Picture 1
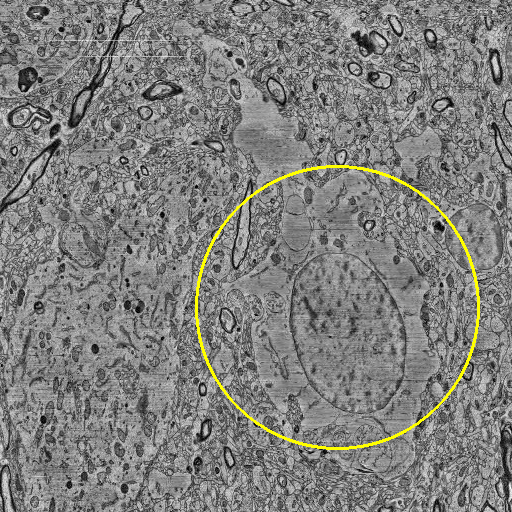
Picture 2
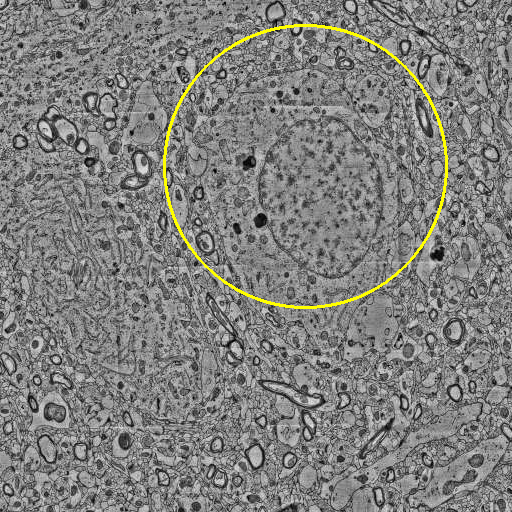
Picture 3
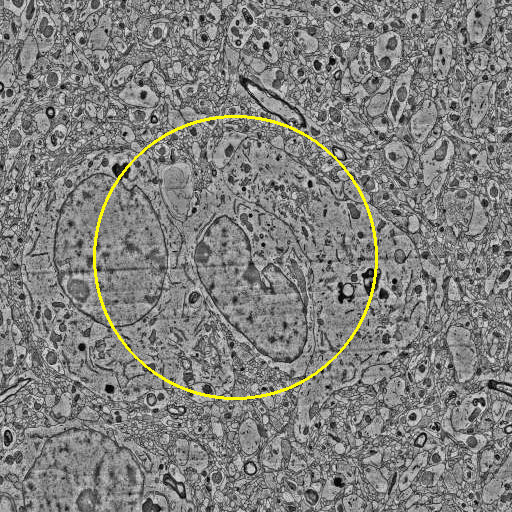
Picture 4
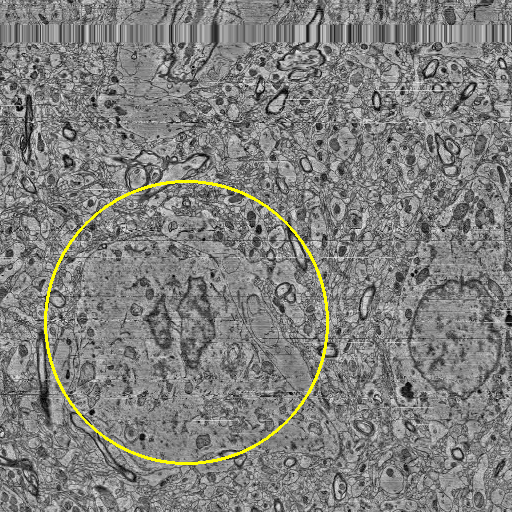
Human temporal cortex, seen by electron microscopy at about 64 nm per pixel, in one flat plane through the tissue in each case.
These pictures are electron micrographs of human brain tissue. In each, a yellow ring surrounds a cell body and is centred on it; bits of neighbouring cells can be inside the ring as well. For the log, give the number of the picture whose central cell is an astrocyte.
1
